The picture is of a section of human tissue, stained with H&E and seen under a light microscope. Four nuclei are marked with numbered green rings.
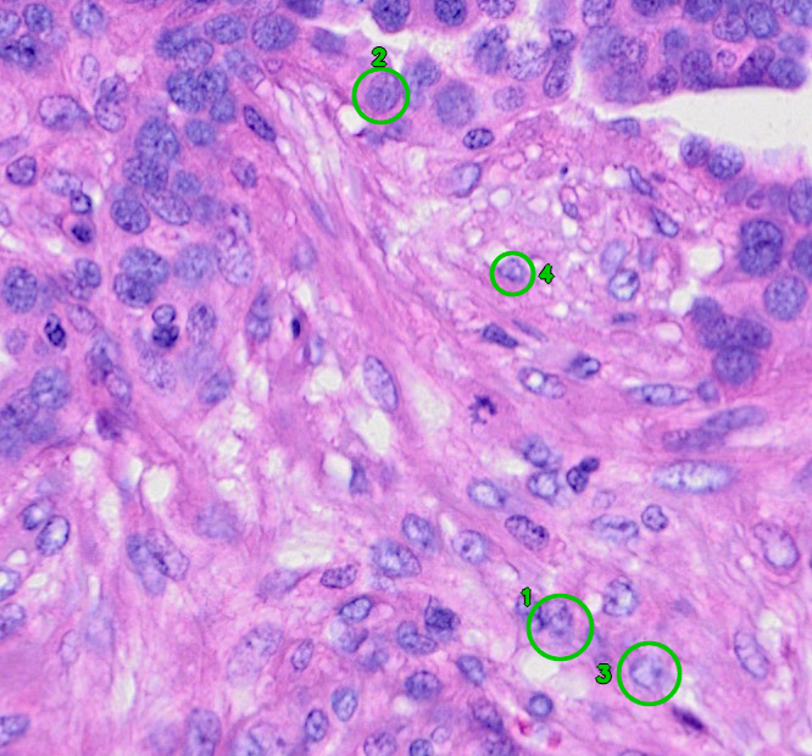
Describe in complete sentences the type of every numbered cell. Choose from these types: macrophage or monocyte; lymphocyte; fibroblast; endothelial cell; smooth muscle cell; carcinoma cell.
Cells 1, 3 and 4 are fibroblasts. Cell 2 is a carcinoma cell.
